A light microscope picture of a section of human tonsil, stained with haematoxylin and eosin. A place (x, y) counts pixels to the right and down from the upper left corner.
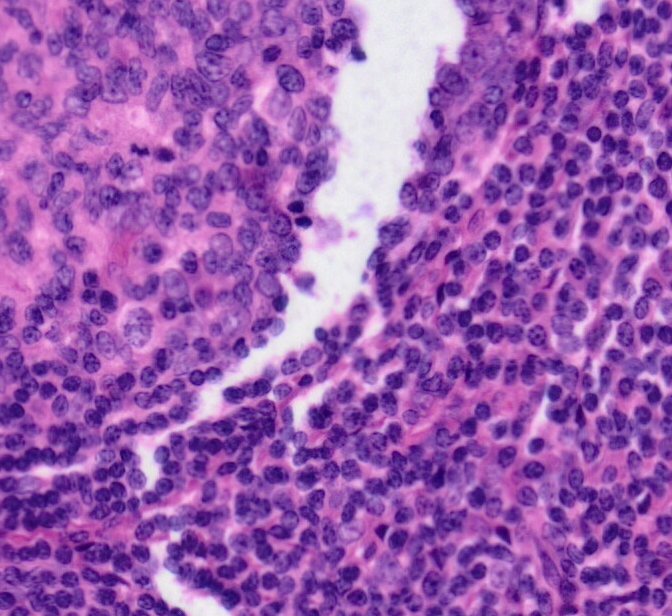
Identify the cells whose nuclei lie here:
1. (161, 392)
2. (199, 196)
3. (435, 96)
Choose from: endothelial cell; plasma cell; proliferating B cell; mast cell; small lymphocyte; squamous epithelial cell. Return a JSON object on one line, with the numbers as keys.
{"1": "small lymphocyte", "2": "proliferating B cell", "3": "proliferating B cell"}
